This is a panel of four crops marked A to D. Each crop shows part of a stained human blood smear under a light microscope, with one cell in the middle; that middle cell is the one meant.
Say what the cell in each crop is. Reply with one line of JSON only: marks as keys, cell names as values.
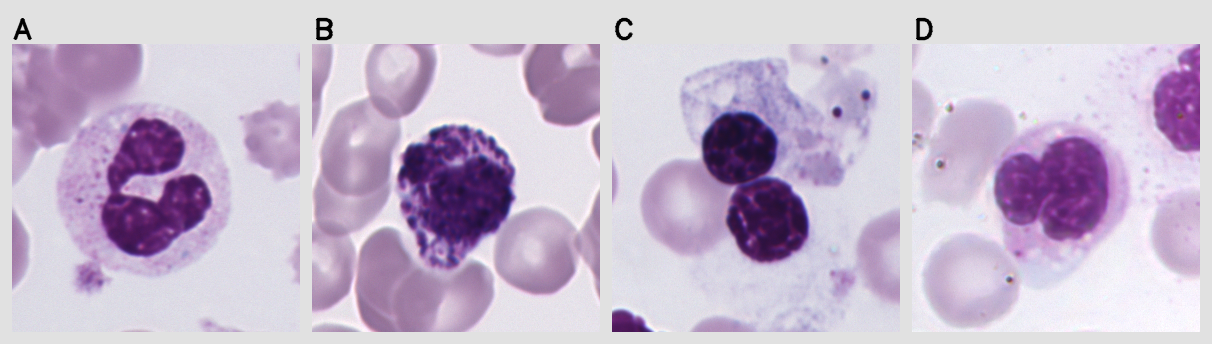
{"A": "segmented neutrophil", "B": "basophil", "C": "normoblast", "D": "band neutrophil"}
